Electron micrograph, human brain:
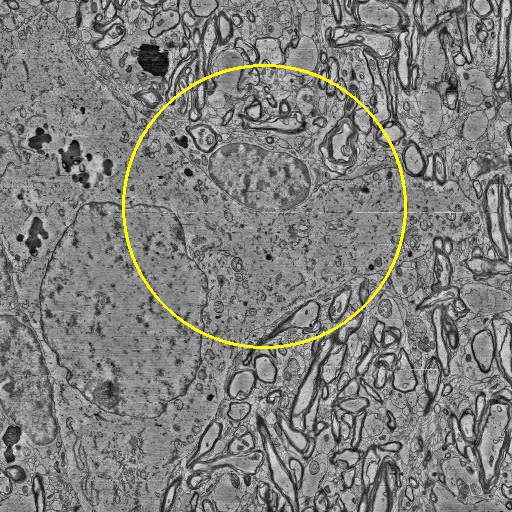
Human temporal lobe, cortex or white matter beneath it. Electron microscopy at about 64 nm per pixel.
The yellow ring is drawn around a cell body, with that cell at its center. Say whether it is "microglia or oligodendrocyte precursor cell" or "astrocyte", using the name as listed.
microglia or oligodendrocyte precursor cell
